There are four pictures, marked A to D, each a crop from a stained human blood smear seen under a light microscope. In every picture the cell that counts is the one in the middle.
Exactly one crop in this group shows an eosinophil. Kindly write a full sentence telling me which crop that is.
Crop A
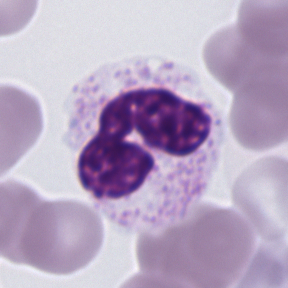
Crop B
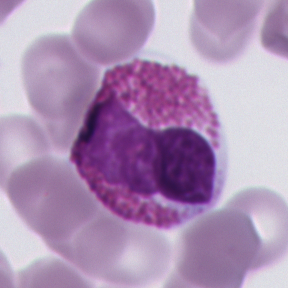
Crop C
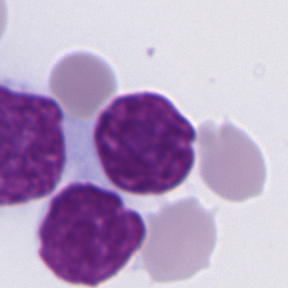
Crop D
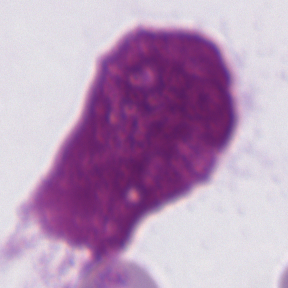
Here the crop that shows an eosinophil is crop B.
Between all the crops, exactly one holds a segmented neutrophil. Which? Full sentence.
Crop A, and no other, shows a segmented neutrophil.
